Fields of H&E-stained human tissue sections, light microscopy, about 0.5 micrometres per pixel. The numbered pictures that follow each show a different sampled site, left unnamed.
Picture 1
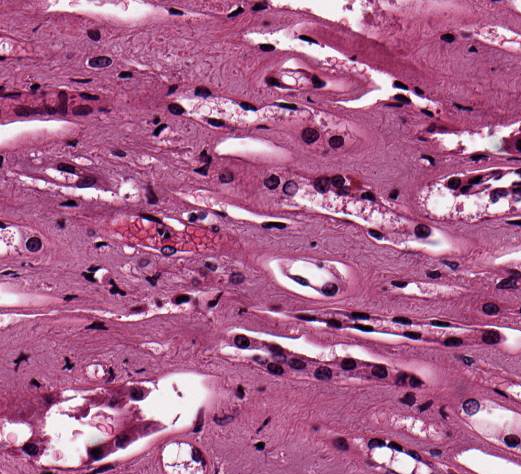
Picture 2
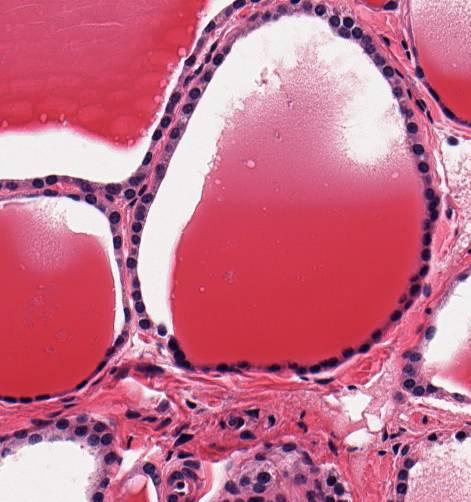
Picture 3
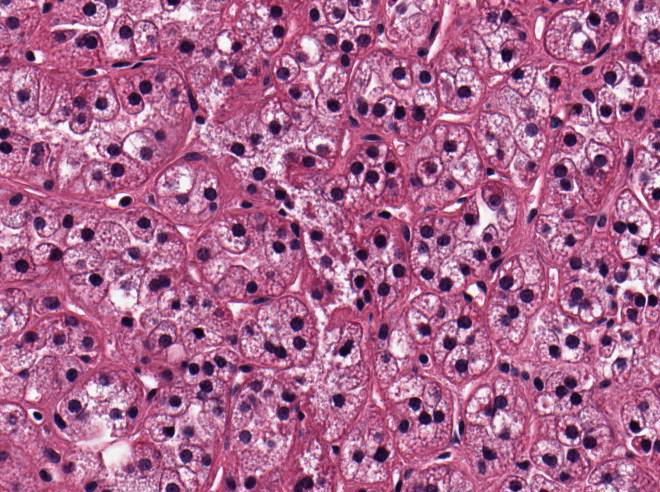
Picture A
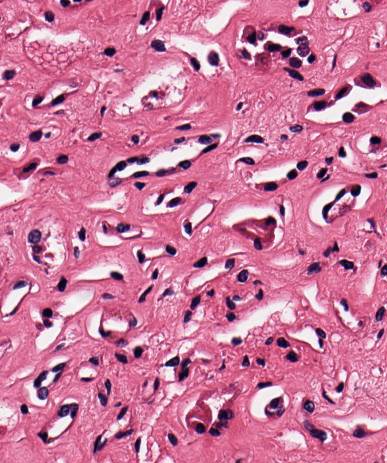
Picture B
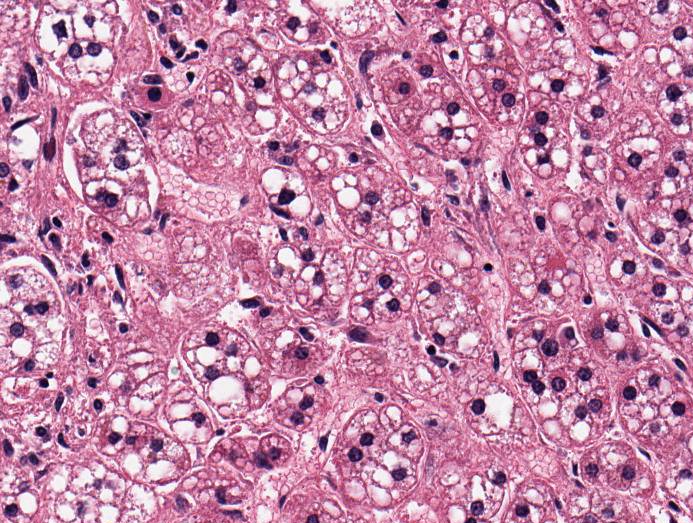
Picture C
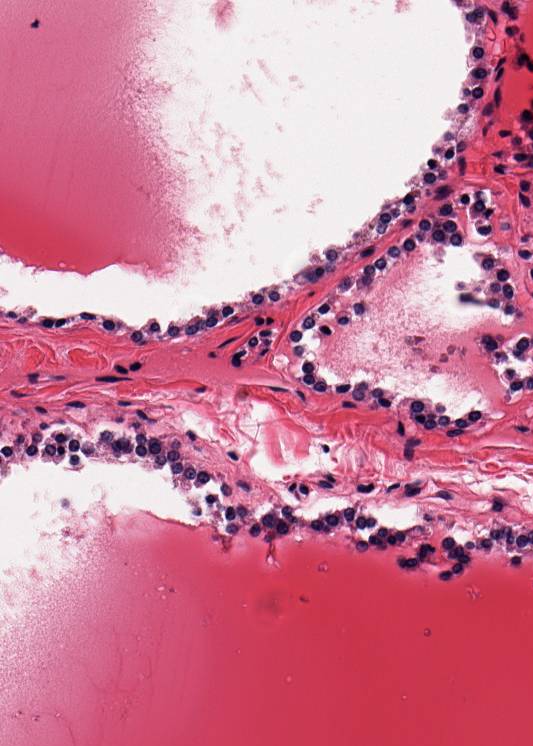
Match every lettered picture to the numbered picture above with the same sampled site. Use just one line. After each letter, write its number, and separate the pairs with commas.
A 1, B 3, C 2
